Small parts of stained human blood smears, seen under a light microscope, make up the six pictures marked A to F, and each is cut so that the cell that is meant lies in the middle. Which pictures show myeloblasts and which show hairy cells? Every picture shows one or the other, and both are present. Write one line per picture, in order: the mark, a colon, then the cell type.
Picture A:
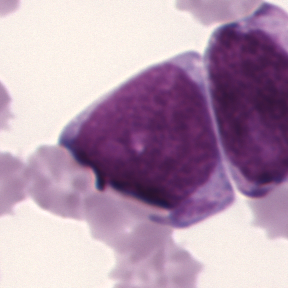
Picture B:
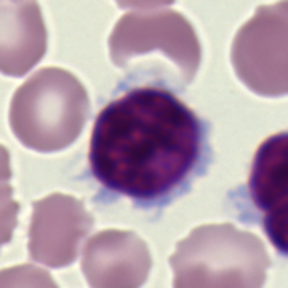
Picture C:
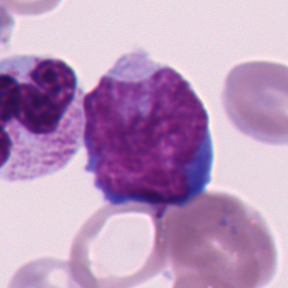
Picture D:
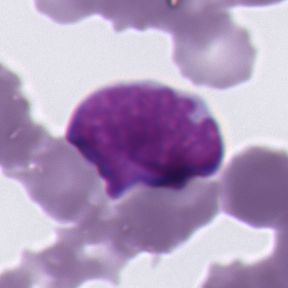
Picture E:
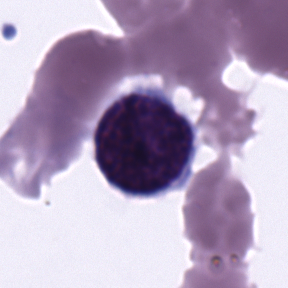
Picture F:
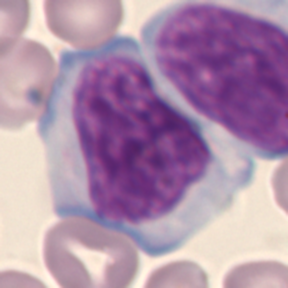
A: myeloblast
B: hairy cell
C: myeloblast
D: myeloblast
E: hairy cell
F: myeloblast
